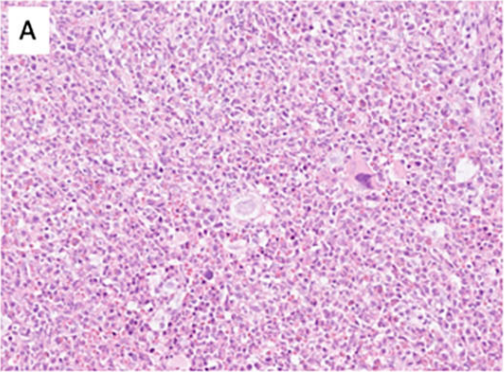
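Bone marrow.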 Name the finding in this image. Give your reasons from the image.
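Hypercellular. The marrow is packed with cells throughout the field. Almost no fat spaces are seen between the cells.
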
